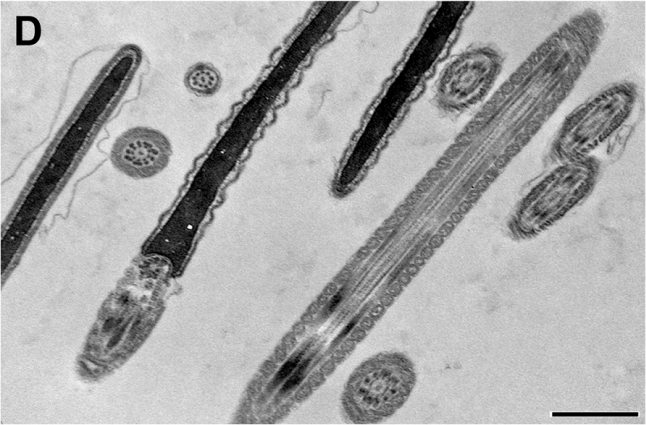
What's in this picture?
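Longitudinal and cross sections of spermatozoa are seen. The heads are long and slender with a very electron-dense, uniform nucleus, covered by a thin acrosomal layer and a loose, wavy plasma membrane. One head joins its tail at the neck, and a longitudinally cut midpiece shows a regular row of mitochondria along both sides of central dense fibers and microtubules. Round cross-sections of flagella show the ring of microtubule doublets around a central pair, some surrounded by dense fibers and a sheath.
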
